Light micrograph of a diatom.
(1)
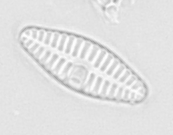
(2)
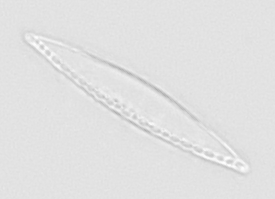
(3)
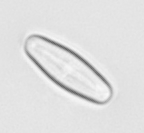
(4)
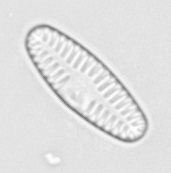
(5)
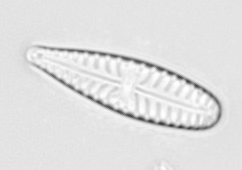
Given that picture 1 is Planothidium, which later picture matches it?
4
